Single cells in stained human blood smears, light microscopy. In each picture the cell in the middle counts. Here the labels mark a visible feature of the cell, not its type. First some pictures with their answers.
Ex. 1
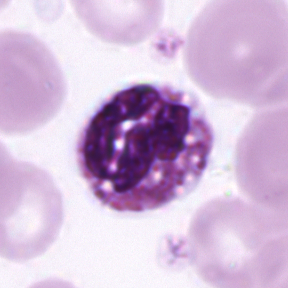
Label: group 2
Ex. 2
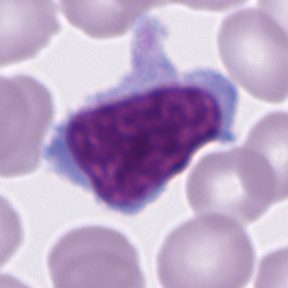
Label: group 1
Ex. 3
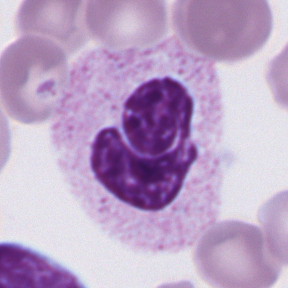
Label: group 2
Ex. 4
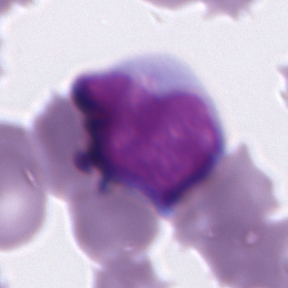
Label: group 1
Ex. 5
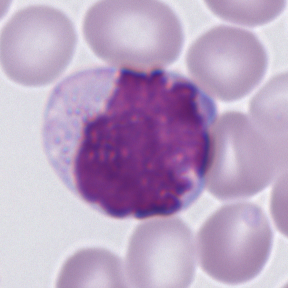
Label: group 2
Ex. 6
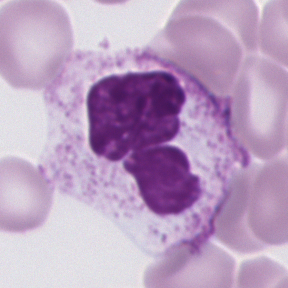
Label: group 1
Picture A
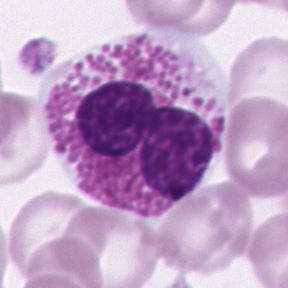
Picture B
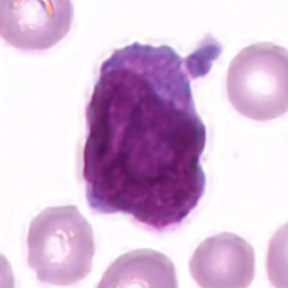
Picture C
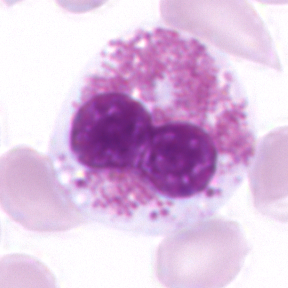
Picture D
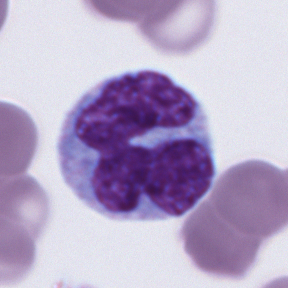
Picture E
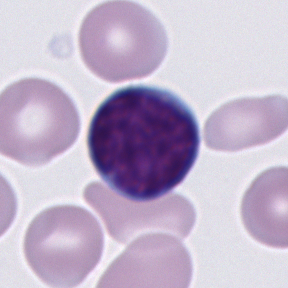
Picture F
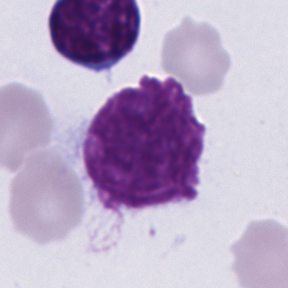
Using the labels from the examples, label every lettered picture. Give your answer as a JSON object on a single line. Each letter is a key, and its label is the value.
{"A": "group 2", "B": "group 1", "C": "group 2", "D": "group 2", "E": "group 2", "F": "group 1"}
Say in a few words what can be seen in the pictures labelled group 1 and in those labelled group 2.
group 1, ragged outline or projections; group 2, smooth outline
